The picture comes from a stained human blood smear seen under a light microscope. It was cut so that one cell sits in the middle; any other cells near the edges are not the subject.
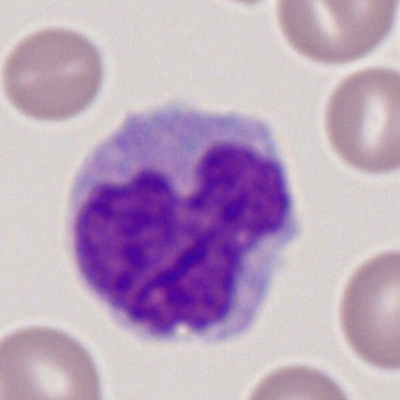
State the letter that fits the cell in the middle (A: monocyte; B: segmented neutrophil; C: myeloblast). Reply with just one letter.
A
